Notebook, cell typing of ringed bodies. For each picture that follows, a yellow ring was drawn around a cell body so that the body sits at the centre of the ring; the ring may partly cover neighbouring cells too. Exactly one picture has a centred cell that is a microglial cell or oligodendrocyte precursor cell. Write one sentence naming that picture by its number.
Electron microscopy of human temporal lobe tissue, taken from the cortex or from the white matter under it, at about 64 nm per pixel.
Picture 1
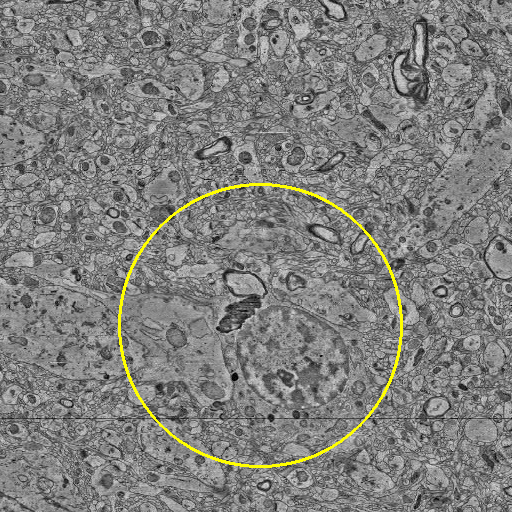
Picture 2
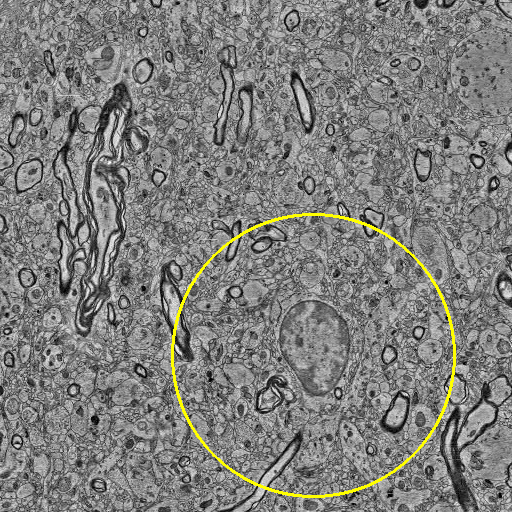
Picture 2 is the one with it at the centre of its ring.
